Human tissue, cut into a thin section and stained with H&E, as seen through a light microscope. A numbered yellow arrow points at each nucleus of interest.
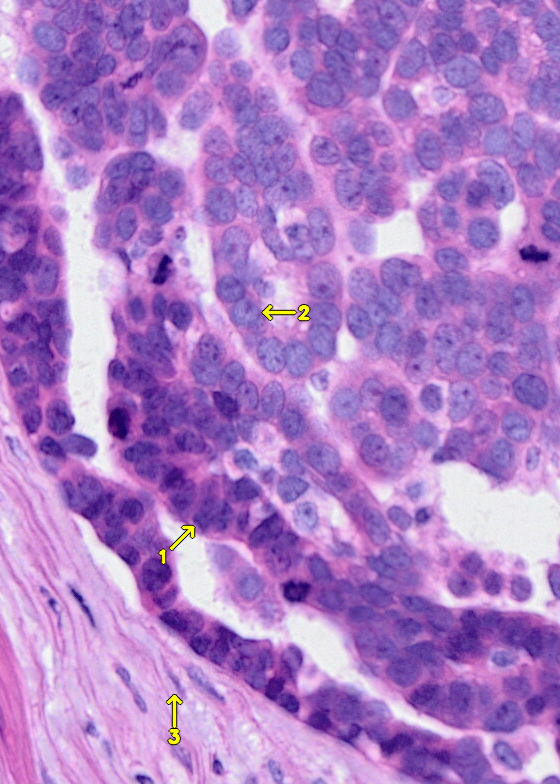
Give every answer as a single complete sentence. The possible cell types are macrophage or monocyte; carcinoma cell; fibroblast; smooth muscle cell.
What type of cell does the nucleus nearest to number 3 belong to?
It is a fibroblast whose nucleus is nearest to number 3.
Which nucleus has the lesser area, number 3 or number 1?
It is nucleus 3; nucleus 1 has about 4 times its area.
